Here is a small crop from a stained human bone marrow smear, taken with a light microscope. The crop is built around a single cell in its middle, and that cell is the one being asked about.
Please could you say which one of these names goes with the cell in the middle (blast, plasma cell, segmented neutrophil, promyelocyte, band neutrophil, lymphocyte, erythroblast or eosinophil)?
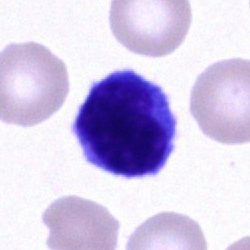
lymphocyte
